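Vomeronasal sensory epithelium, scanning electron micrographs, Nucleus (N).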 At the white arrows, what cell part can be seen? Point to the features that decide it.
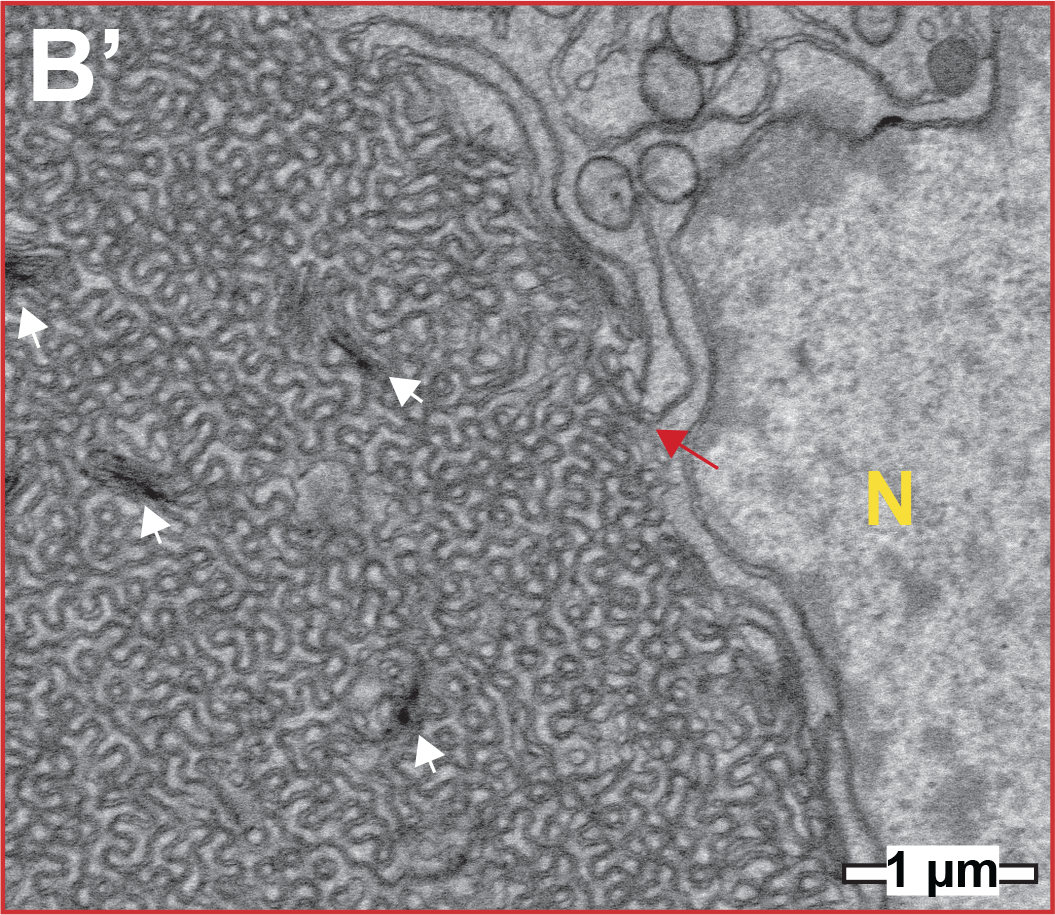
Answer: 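Dense membrane stacks. Small dark elongated streaks lie within the convoluted membrane field.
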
